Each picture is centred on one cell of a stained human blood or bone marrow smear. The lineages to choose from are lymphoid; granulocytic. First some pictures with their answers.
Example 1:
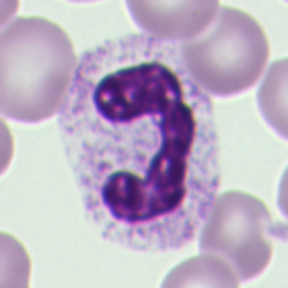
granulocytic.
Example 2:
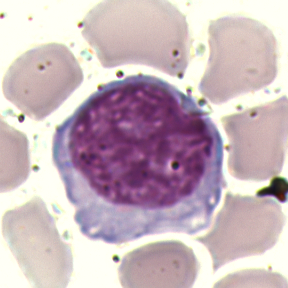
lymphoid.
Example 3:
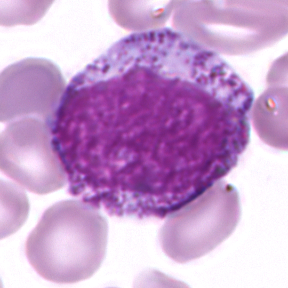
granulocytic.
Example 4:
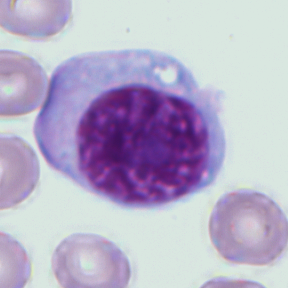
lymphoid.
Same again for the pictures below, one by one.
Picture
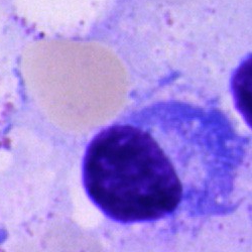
lymphoid.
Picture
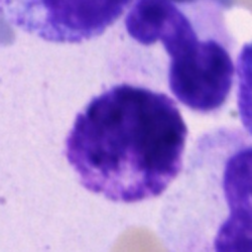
granulocytic.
